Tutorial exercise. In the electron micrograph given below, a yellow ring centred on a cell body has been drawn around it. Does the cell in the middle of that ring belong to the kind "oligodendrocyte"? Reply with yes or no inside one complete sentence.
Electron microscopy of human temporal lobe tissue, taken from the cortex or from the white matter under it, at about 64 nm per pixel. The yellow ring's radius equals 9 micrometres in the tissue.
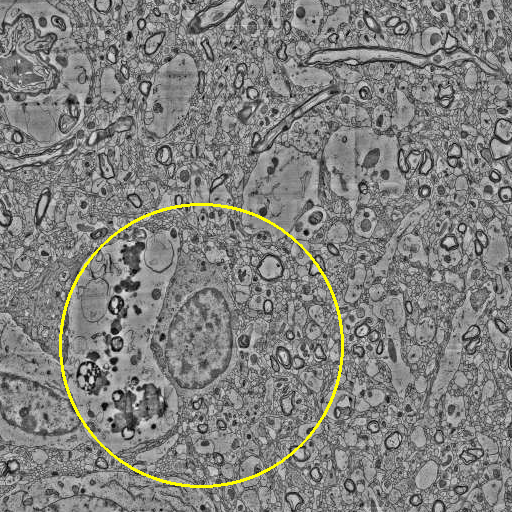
Yes, the cell at the centre of the ring in the picture is of that kind.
